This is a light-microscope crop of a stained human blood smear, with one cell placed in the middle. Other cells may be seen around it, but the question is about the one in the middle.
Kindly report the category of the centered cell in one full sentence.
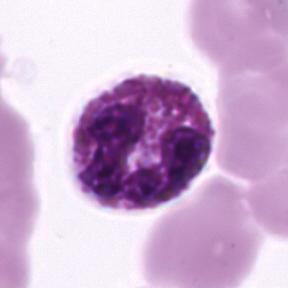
By type, the central cell of the crop is an eosinophil.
